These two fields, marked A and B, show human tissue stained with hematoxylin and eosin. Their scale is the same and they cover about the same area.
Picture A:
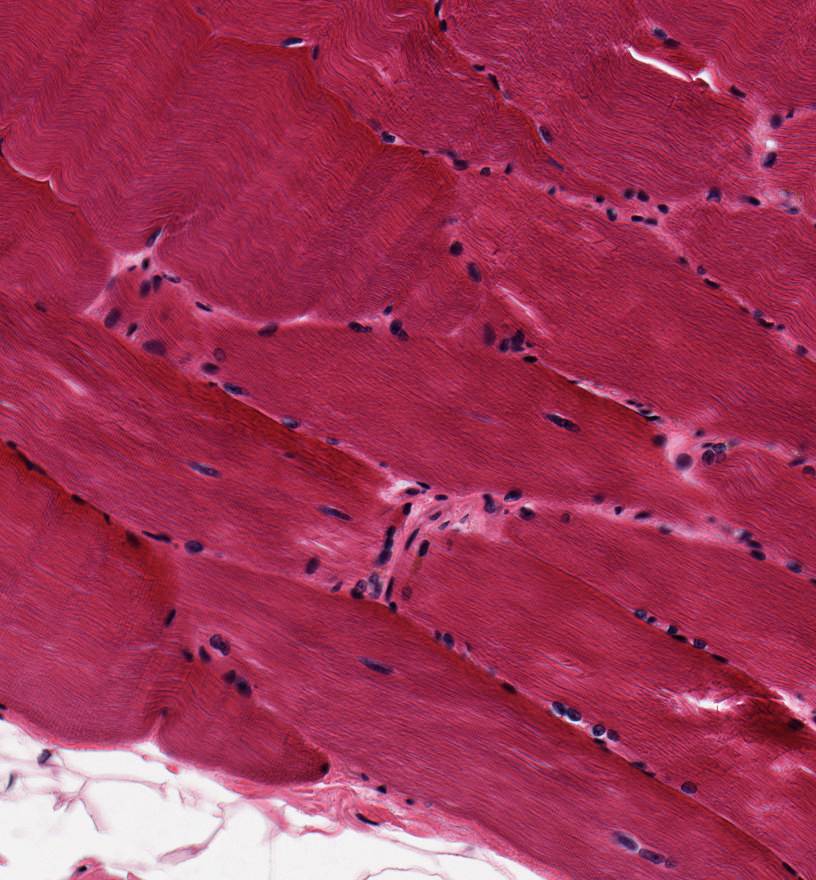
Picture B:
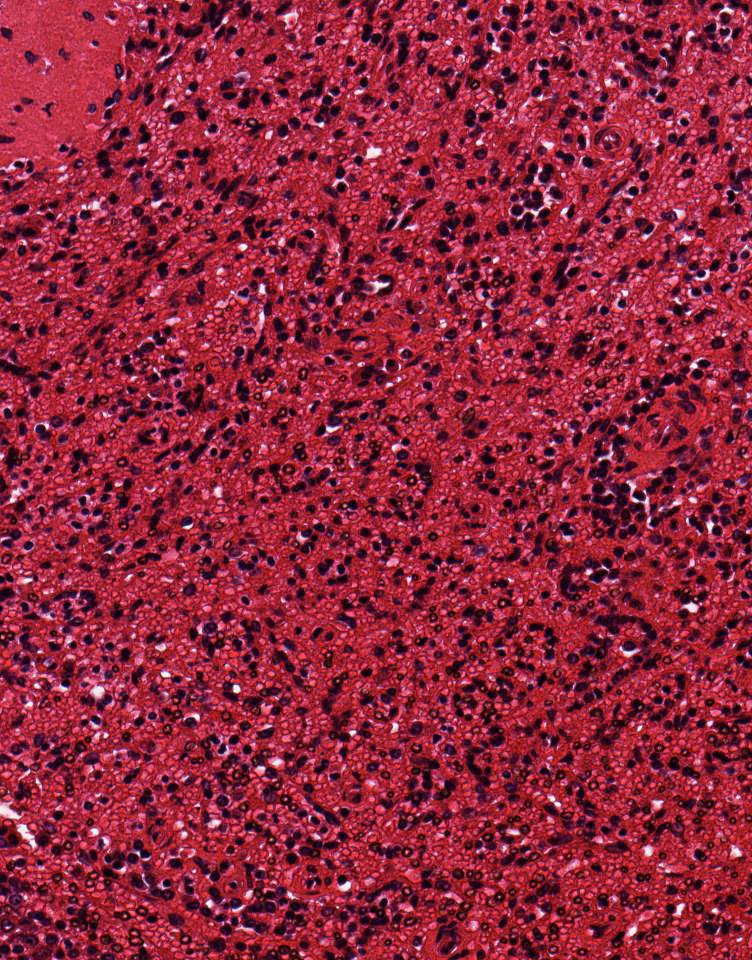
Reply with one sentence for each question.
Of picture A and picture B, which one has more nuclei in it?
Picture B holds more nuclei than picture A.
